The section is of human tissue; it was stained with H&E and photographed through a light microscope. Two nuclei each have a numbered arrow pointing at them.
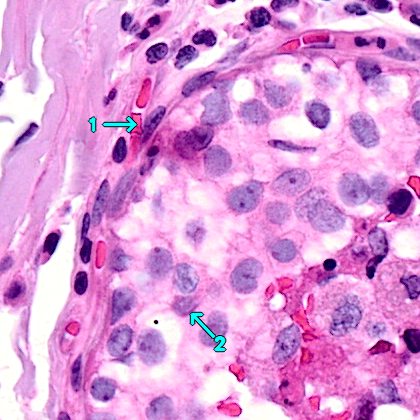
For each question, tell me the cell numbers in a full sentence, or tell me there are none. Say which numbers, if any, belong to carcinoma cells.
The nucleus labelled 2 alone belongs to a carcinoma cell; the other marked nuclei do not.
